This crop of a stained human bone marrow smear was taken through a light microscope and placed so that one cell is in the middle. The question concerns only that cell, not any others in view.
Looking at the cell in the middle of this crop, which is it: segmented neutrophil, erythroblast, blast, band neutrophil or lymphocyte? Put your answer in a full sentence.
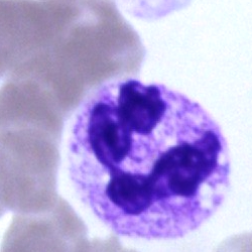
The centrally positioned cell in the crop represents a segmented neutrophil.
